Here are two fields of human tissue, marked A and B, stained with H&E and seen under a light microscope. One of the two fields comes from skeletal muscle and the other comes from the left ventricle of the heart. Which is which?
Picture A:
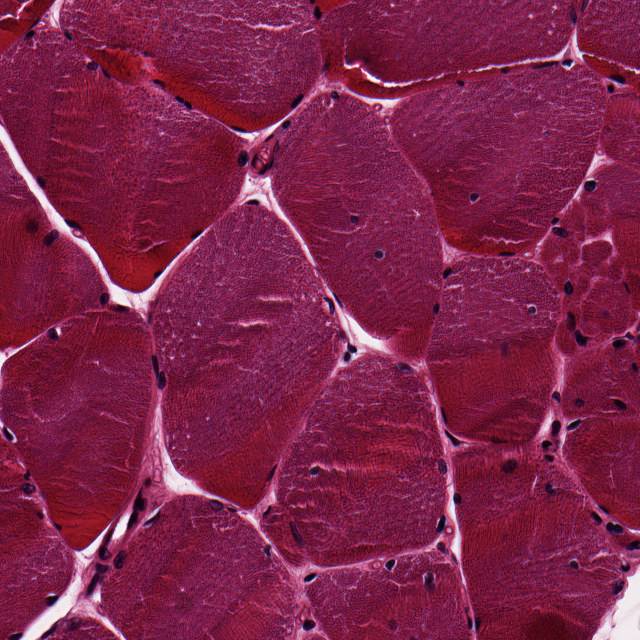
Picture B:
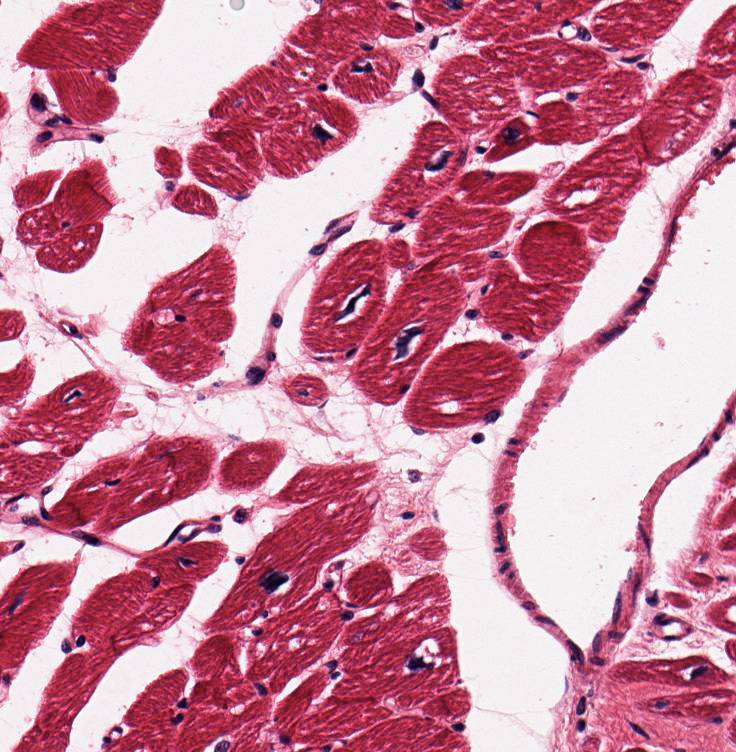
A: skeletal muscle
B: left ventricle of the heart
